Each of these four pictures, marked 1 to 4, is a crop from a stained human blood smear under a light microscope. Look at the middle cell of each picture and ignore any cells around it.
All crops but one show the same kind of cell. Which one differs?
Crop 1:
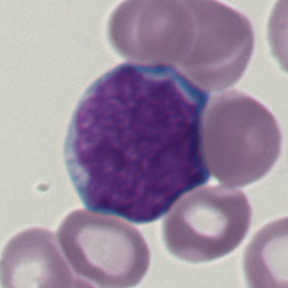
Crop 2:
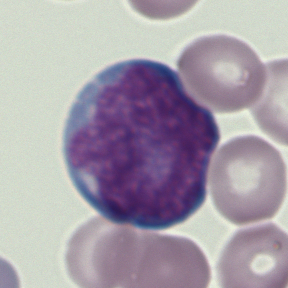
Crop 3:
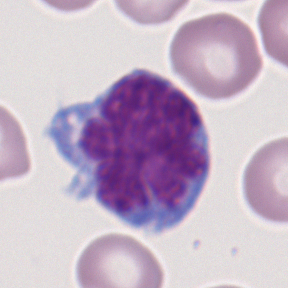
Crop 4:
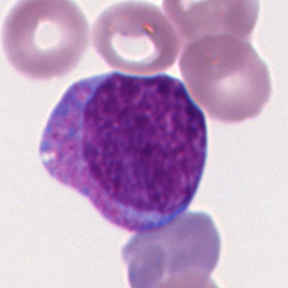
4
